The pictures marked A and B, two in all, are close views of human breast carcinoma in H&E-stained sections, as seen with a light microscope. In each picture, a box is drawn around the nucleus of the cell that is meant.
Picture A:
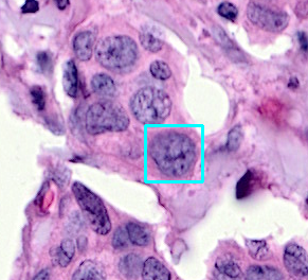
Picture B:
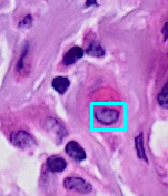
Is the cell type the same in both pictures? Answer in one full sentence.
No, the types are not the same, since picture A shows a carcinoma cell and picture B an endothelial cell.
